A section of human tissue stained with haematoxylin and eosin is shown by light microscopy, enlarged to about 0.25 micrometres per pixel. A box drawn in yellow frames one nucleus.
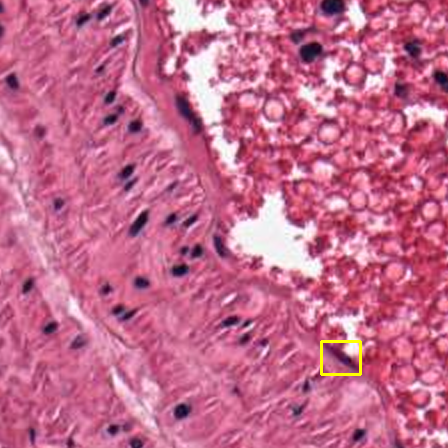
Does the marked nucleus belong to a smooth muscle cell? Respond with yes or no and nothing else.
no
